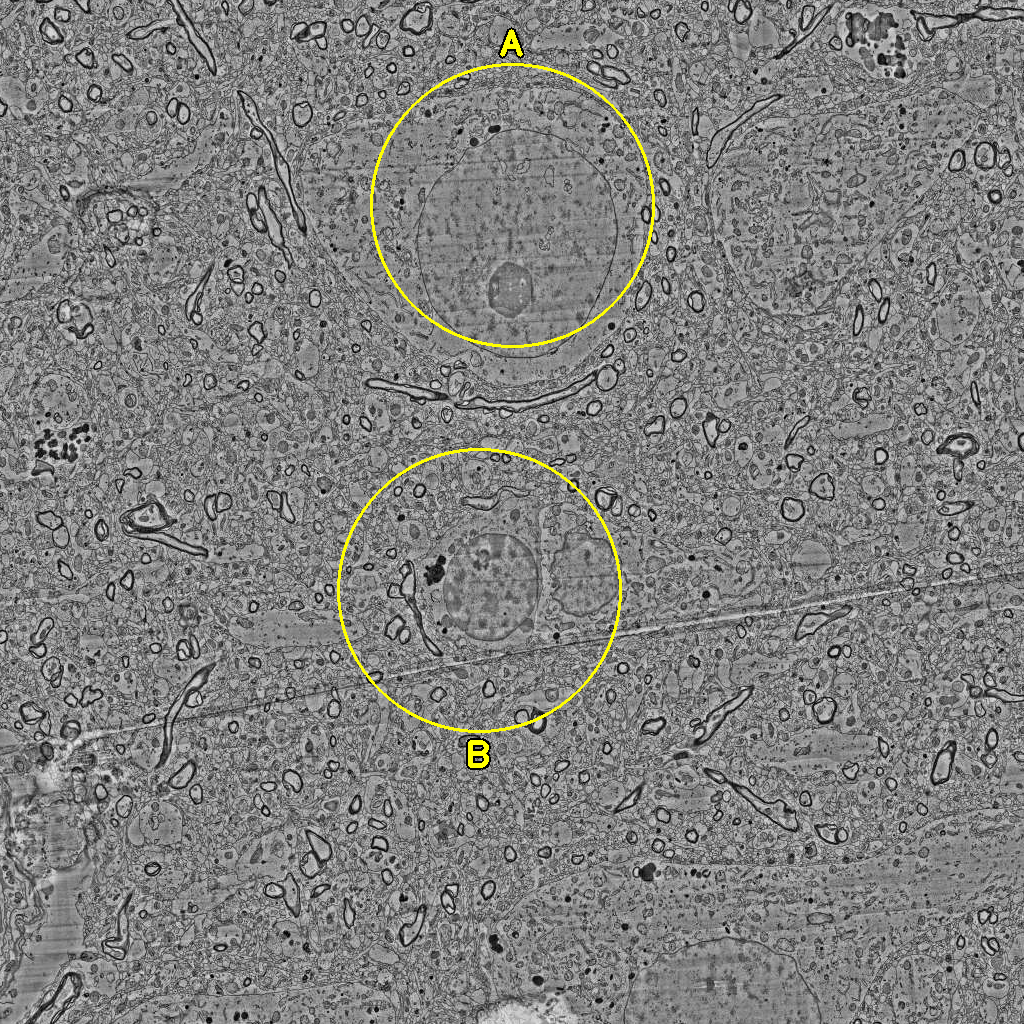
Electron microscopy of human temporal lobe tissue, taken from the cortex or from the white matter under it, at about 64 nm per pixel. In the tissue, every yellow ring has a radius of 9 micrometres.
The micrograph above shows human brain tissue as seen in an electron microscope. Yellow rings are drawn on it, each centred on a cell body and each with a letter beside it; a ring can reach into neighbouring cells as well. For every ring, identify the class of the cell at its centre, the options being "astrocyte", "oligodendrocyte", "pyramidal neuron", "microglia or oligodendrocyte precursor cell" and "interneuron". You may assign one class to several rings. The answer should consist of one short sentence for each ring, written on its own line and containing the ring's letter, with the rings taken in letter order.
The ring lettered A is centred on a pyramidal neuron.
The ring lettered B is centred on an oligodendrocyte.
